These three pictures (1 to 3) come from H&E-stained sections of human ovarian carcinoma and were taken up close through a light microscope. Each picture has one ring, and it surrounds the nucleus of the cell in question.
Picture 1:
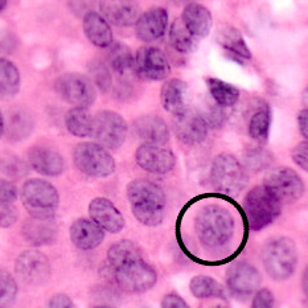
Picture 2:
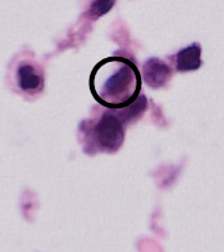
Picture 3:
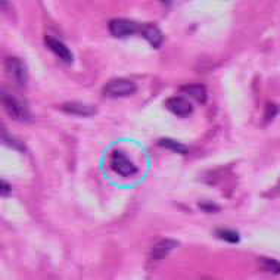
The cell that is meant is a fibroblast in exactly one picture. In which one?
3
